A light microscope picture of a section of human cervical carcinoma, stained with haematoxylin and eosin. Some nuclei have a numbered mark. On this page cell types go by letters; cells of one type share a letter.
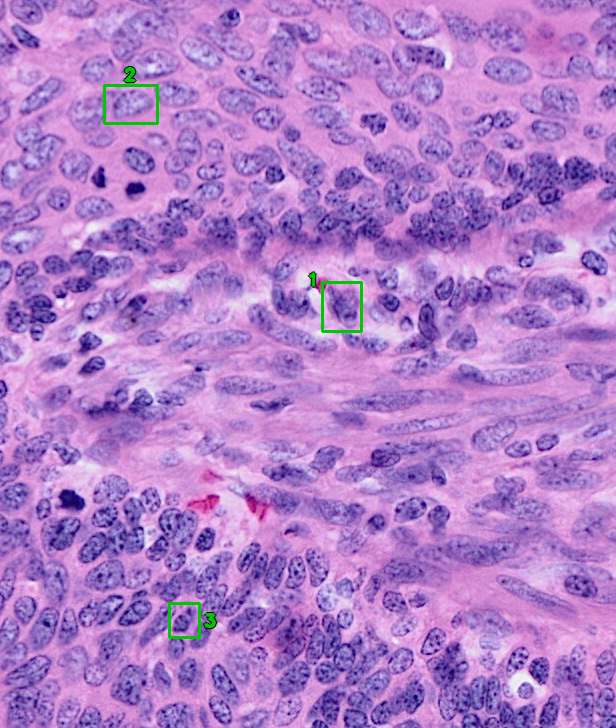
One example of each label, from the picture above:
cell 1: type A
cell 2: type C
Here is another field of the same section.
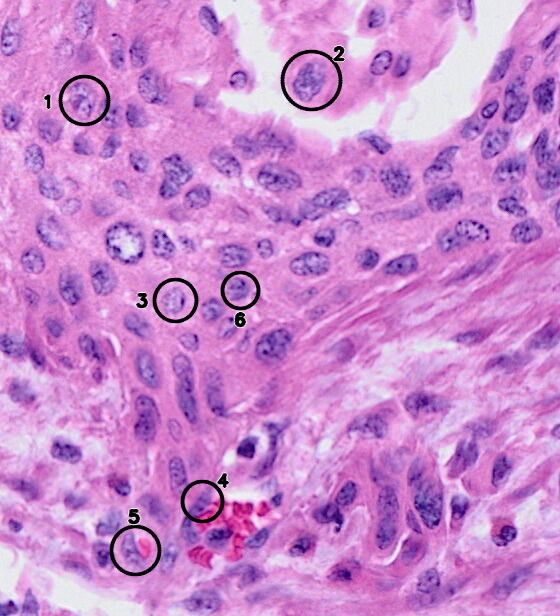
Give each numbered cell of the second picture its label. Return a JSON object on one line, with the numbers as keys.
{"1": "type C", "2": "type C", "3": "type C", "4": "type A", "5": "type A", "6": "type C"}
